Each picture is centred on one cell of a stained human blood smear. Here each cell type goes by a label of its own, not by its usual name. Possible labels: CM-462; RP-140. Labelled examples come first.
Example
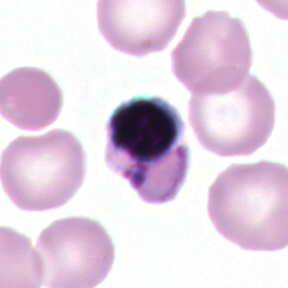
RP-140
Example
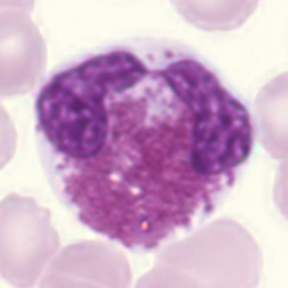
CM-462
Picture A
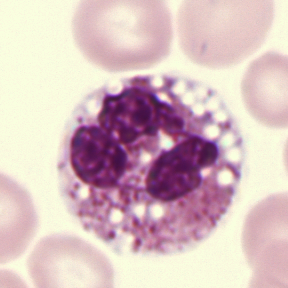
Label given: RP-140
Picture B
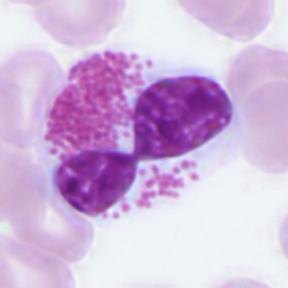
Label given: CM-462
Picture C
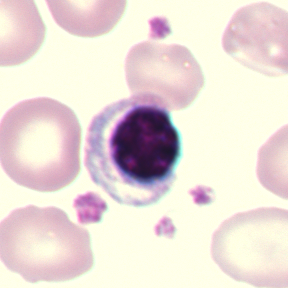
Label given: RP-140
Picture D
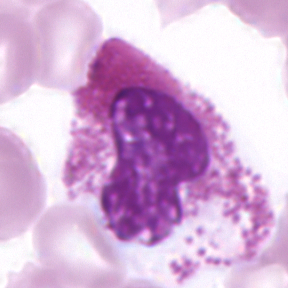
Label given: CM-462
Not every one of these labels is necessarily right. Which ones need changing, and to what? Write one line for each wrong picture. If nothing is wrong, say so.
A: change RP-140 to CM-462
